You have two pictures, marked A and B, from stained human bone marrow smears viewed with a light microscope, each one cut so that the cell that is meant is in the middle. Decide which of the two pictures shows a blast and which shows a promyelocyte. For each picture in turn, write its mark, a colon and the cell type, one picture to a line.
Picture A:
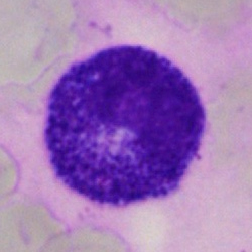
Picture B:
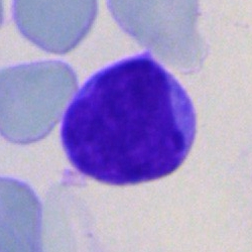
A: promyelocyte
B: blast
